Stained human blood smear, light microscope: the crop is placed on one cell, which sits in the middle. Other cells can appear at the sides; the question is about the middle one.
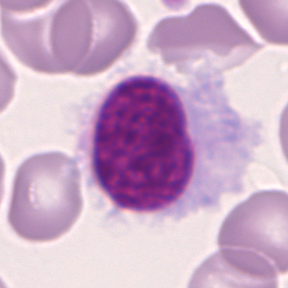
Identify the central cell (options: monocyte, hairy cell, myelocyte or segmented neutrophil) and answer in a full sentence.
The middle of this crop is occupied by a hairy cell.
